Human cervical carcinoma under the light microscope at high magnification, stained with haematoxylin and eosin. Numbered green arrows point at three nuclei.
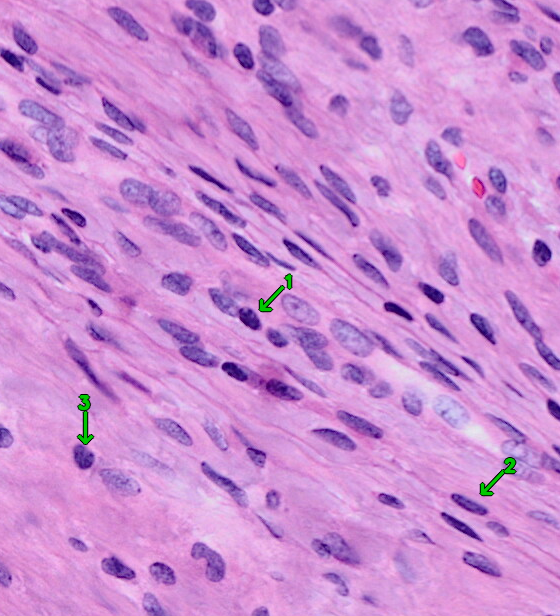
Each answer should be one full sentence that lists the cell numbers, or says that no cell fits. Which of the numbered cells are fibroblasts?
Cell 2 is a fibroblast; the remaining numbered cells are not.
